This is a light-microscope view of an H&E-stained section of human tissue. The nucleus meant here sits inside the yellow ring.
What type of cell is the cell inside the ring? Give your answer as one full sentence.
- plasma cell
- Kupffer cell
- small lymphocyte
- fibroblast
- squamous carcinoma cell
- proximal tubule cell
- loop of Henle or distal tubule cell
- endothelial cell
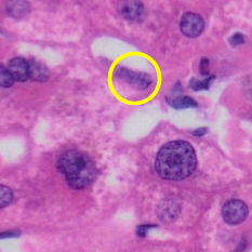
The cell inside the ring is a Kupffer cell.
